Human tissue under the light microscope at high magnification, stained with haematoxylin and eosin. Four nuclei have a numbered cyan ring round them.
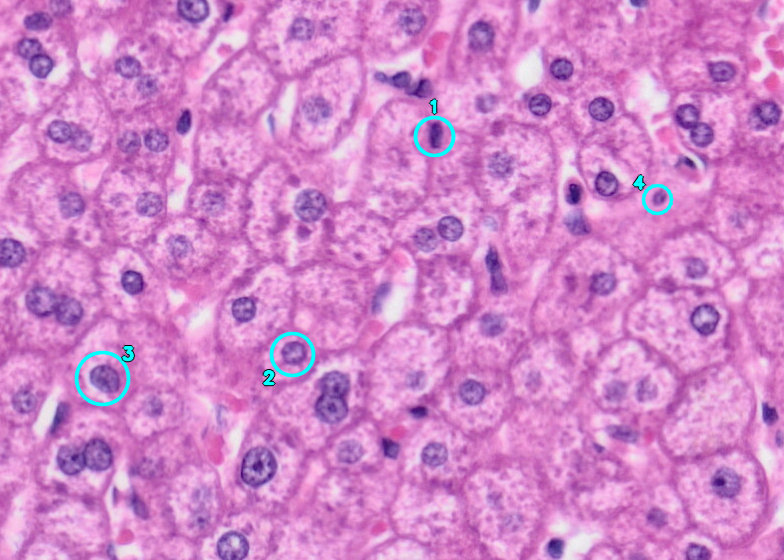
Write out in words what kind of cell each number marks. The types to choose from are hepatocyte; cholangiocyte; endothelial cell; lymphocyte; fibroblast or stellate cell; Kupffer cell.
Cell 1 is a fibroblast or stellate cell, cell 2 is a hepatocyte, cell 3 is a hepatocyte and cell 4 is a lymphocyte.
